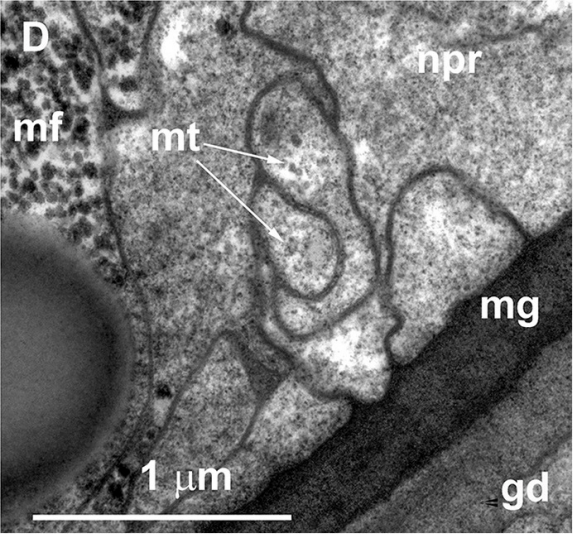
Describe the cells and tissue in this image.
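This electron micrograph shows a small neurite bundle in the epidermis resting directly on the mesoglea. A few pale, irregular nerve processes bounded by clear membranes contain scattered microtubule profiles. The bundle abuts a thick, uniformly dark mesoglea running diagonally at lower right, with gastrodermis beyond it. Above and beside the bundle lie broader processes, one at upper left packed with dense granular microfilaments, and a large smooth dense body at the left edge.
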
